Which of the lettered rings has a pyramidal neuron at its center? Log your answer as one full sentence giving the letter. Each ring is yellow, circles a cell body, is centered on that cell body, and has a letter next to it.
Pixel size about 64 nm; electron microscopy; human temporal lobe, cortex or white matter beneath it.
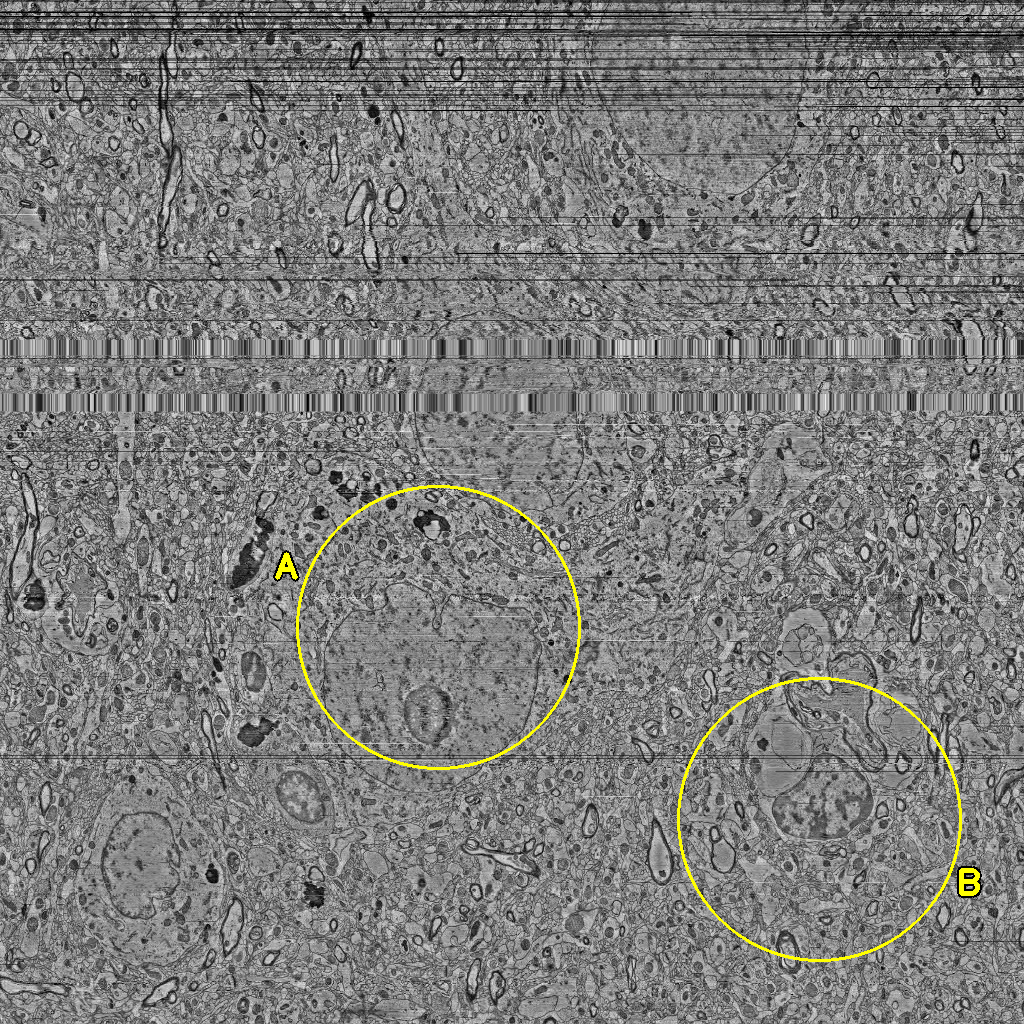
The lettered ring centered on the cell asked for is ring A.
